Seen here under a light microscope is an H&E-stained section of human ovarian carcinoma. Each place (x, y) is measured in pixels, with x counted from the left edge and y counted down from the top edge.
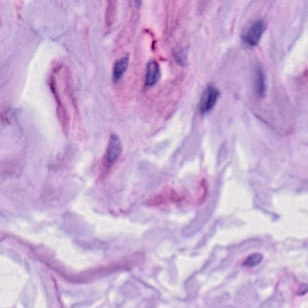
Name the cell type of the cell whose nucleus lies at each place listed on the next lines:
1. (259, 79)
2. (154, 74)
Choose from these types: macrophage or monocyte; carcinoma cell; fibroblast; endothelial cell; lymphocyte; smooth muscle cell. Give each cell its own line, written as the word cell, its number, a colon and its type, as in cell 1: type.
cell 1: fibroblast
cell 2: endothelial cell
